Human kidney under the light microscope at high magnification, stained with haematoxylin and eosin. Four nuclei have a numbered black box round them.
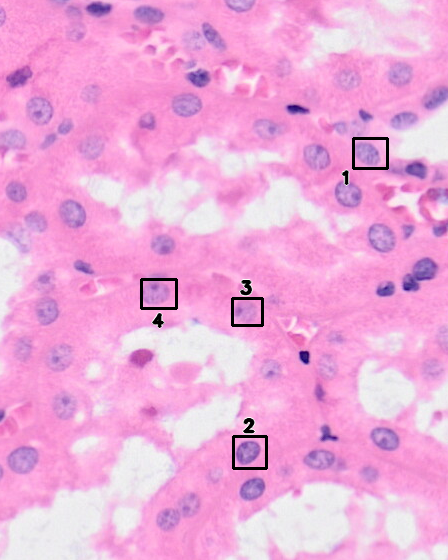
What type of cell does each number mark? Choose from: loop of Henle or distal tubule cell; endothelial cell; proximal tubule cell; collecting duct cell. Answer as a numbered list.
1. collecting duct cell
2. proximal tubule cell
3. proximal tubule cell
4. proximal tubule cell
